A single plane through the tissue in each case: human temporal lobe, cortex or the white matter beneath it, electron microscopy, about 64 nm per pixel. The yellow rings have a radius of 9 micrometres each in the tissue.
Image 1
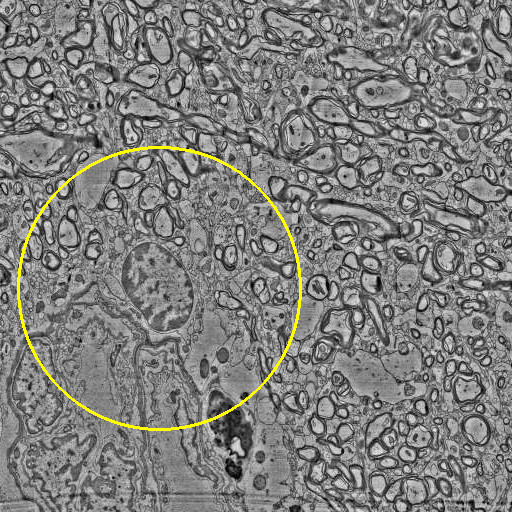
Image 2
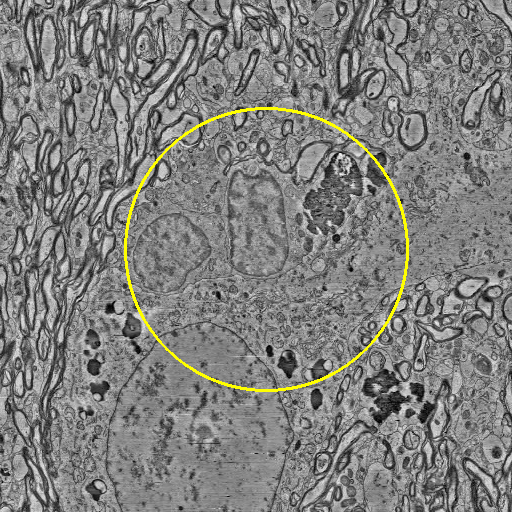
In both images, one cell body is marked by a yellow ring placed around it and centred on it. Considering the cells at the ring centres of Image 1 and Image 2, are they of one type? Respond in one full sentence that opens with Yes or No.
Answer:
No, two types apply to the ring-centred cells of Image 1 and Image 2.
